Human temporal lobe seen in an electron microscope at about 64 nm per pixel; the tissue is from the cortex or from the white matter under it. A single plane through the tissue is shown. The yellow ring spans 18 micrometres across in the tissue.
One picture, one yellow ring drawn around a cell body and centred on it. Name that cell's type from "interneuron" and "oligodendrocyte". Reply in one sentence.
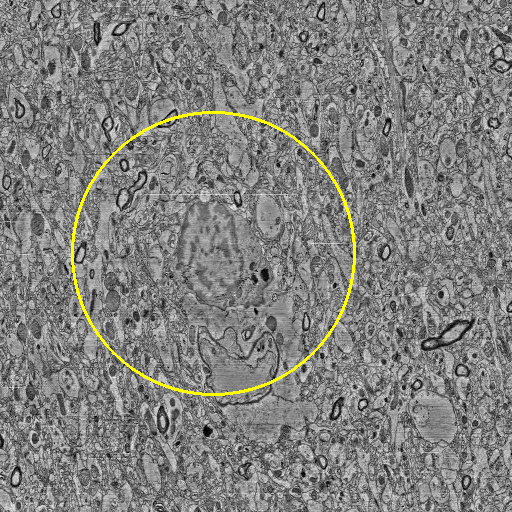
Centred in the ring is an oligodendrocyte.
